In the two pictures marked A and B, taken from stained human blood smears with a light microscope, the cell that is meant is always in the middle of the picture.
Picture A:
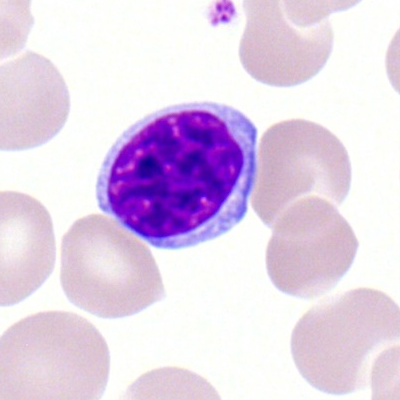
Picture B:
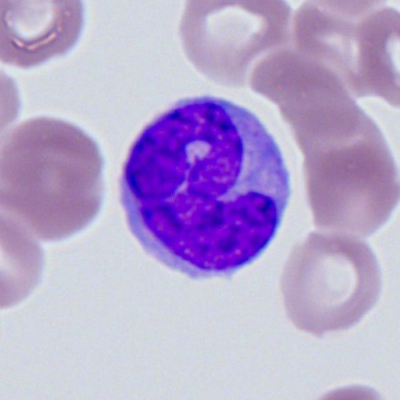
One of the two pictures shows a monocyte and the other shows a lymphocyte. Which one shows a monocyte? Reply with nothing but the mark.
B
